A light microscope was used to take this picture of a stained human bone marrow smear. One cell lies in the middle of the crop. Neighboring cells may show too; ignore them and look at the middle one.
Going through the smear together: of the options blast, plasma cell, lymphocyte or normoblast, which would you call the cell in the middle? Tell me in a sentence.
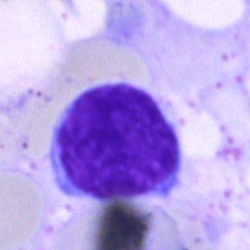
At the middle of the frame sits a lymphocyte.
